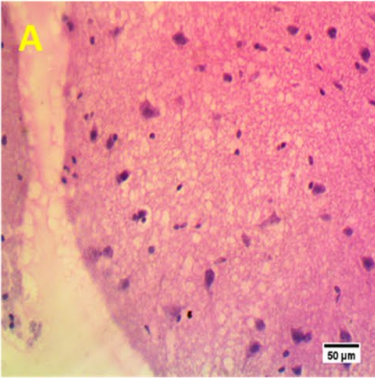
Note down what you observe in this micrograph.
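This is brain tissue stained with hematoxylin and eosin, showing a pink neuropil with vacuolation. The neuropil has a spongy texture, with many small clear round spaces scattered throughout it. Scattered cells with dark purple nuclei lie within it, some with angular or triangular bodies and a rim of purple cytoplasm, others as small round dark nuclei.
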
